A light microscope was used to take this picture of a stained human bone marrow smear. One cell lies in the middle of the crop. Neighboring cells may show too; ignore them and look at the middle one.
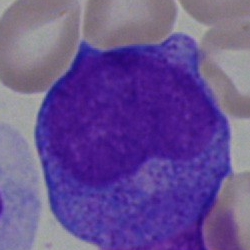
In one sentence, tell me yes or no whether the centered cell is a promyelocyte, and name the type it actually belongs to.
Yes, a promyelocyte occupies the middle of the crop.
